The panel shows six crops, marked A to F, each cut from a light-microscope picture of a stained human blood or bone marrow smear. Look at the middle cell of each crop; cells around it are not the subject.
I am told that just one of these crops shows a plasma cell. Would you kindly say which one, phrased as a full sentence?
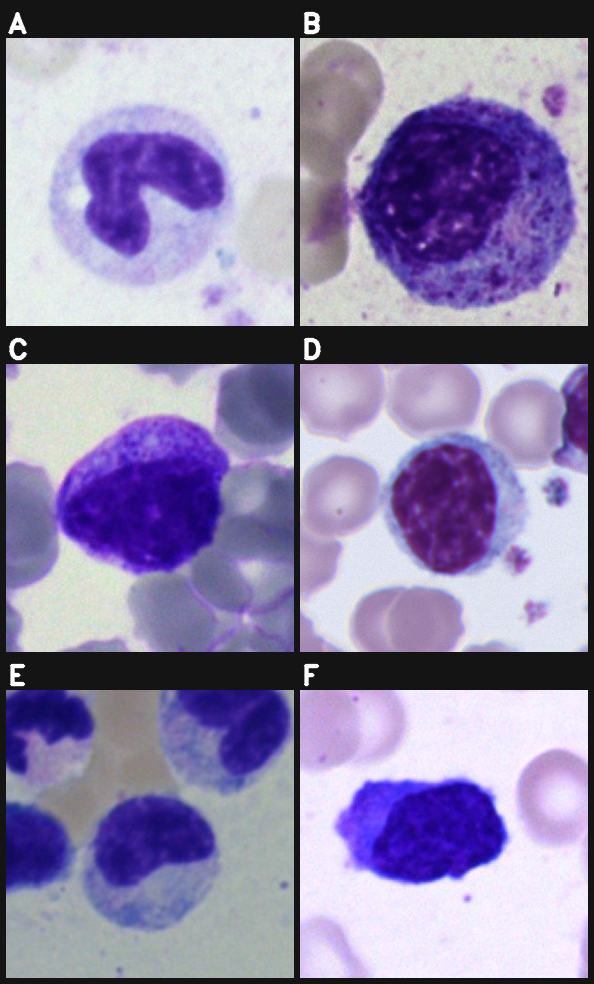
Crop F is the single crop that shows a plasma cell.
